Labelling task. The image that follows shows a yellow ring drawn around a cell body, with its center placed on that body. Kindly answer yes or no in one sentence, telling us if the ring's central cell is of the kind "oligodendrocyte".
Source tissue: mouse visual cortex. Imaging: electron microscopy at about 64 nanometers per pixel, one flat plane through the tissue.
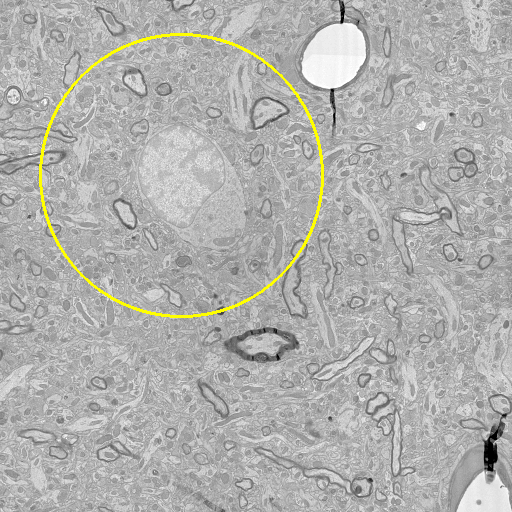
Yes, in this image the cell at the ring's center is of that kind.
